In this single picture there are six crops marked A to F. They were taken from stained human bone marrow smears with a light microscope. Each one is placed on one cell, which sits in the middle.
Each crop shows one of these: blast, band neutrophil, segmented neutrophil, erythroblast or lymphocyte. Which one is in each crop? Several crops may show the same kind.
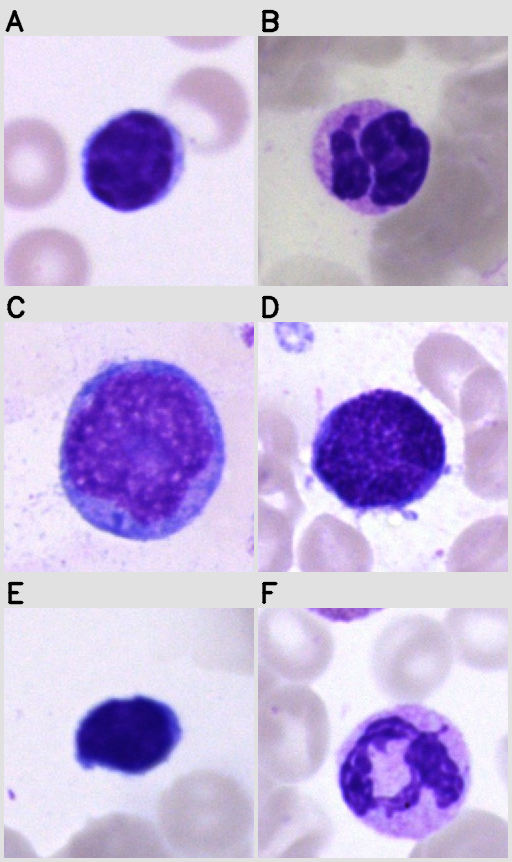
A: lymphocyte
B: segmented neutrophil
C: blast
D: blast
E: lymphocyte
F: segmented neutrophil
